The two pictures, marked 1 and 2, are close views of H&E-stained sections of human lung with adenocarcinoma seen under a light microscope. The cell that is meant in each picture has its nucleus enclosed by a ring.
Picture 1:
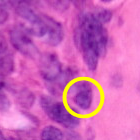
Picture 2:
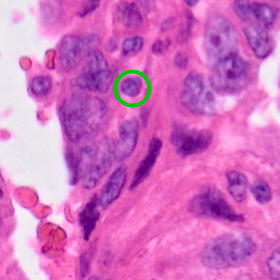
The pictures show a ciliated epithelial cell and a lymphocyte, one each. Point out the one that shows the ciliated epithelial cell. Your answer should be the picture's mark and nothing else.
1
